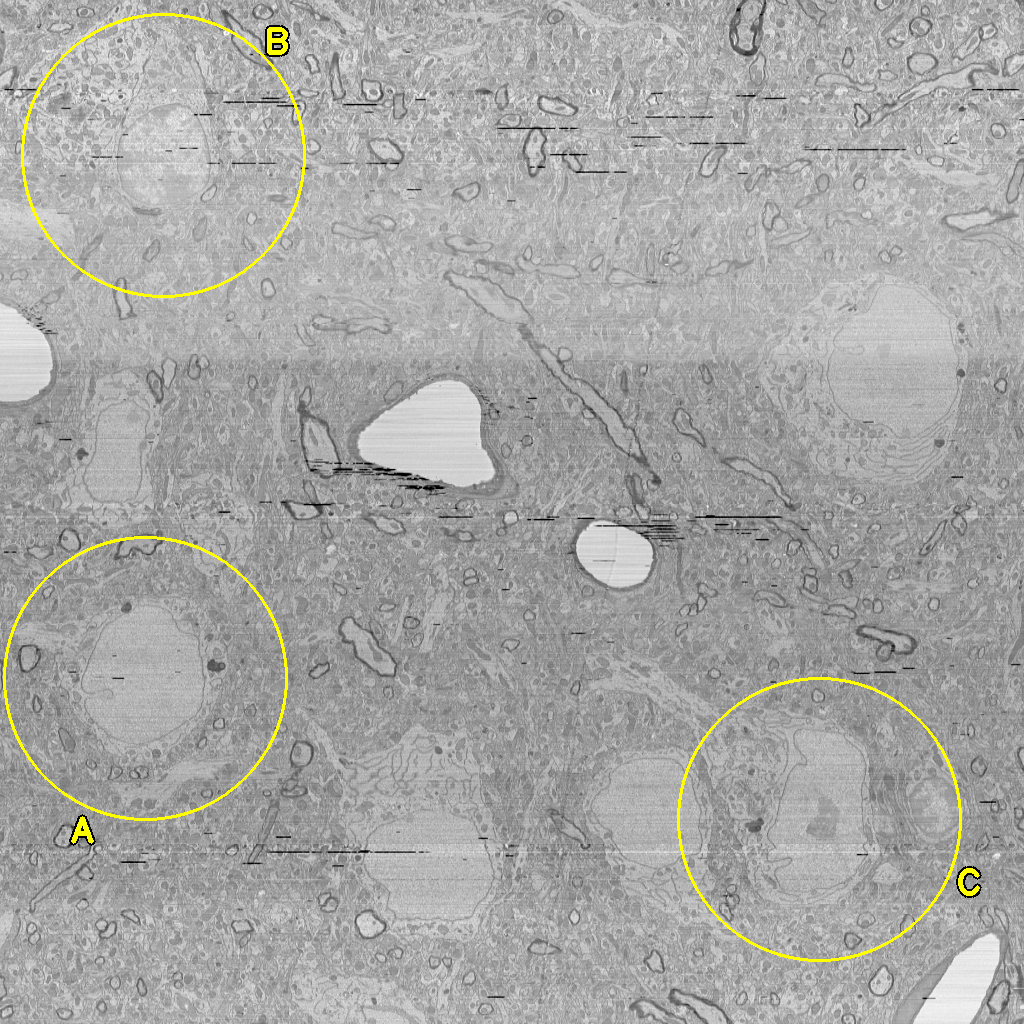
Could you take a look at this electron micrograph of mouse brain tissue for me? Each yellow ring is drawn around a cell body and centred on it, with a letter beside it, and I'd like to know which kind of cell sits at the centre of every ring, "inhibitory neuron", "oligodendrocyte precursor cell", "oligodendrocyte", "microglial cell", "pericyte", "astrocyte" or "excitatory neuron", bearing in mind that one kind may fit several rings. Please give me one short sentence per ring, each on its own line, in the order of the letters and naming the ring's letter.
Ring A is centred on an excitatory neuron.
Ring B is centred on an oligodendrocyte.
Ring C is centred on an inhibitory neuron.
